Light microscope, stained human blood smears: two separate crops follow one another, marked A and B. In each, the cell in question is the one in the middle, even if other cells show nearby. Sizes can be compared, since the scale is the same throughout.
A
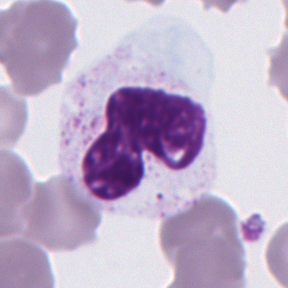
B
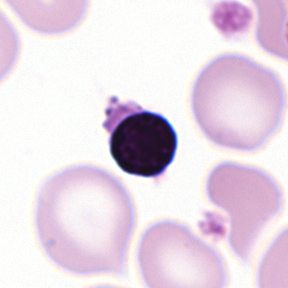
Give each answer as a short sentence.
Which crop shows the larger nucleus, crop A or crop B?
The nucleus in crop A is larger, with about 2.5 times the area of the one in crop B.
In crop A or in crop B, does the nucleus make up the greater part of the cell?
It is the cell in crop B that is filled more by its nucleus.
